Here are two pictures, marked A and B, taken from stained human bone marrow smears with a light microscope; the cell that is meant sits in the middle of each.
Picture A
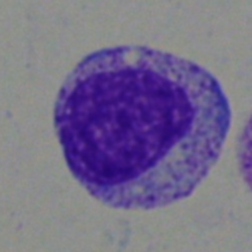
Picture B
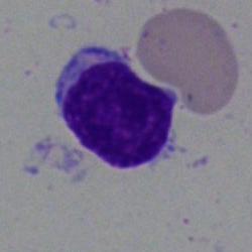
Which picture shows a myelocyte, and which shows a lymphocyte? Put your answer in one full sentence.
The cell in picture A is a myelocyte, and the one in picture B is a lymphocyte.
